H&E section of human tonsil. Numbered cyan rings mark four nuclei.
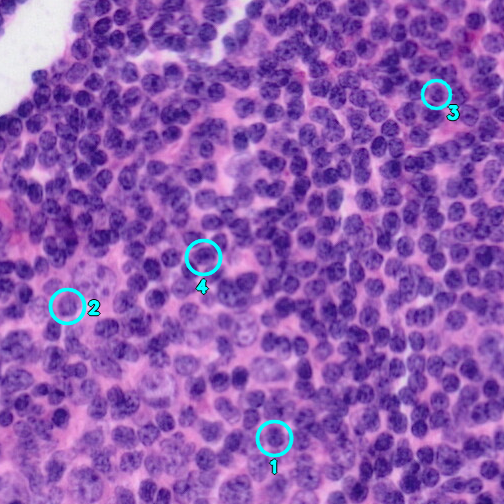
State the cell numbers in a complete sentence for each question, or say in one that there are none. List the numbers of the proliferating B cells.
The cells assigned the numbers 1 and 2 are proliferating B cells.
